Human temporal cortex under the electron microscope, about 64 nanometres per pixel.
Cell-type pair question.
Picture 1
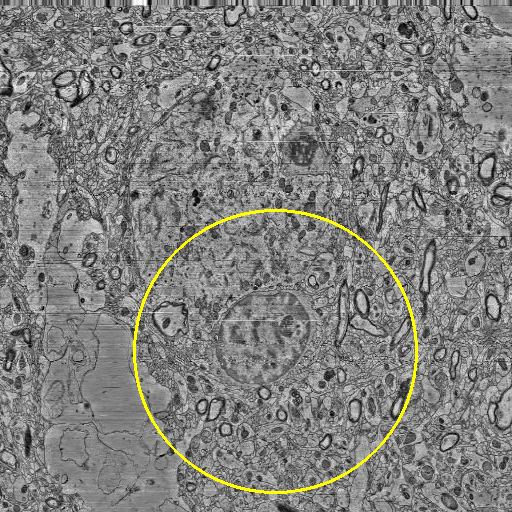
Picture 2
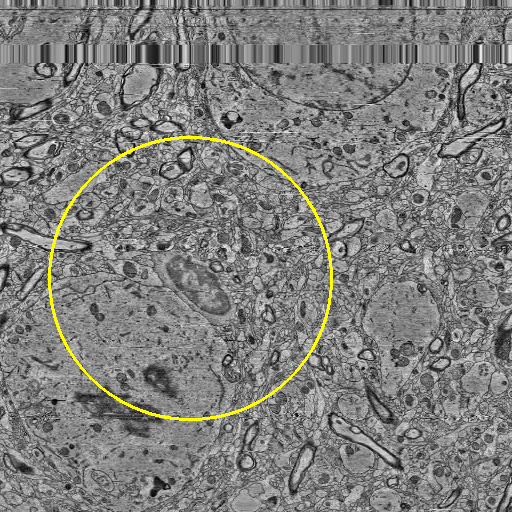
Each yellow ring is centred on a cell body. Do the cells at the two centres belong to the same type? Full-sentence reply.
Yes, the two cells belong to the same type.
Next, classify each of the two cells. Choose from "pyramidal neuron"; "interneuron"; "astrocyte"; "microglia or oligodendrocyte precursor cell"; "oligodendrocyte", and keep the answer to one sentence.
The cell in the first picture is an oligodendrocyte, and so is the one in the second.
